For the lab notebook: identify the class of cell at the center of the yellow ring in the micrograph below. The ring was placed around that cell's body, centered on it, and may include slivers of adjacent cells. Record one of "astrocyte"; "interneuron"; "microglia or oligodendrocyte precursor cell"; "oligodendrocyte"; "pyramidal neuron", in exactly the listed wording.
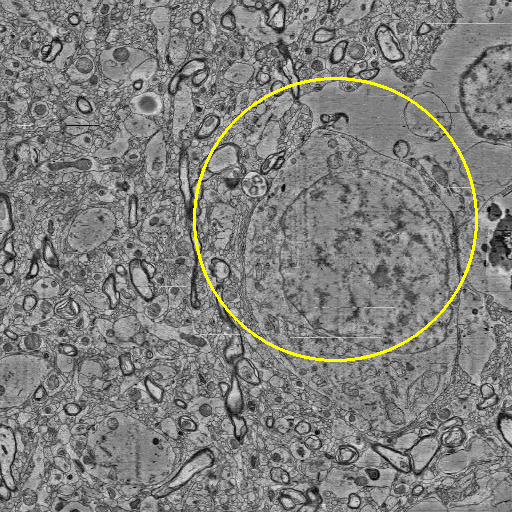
pyramidal neuron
